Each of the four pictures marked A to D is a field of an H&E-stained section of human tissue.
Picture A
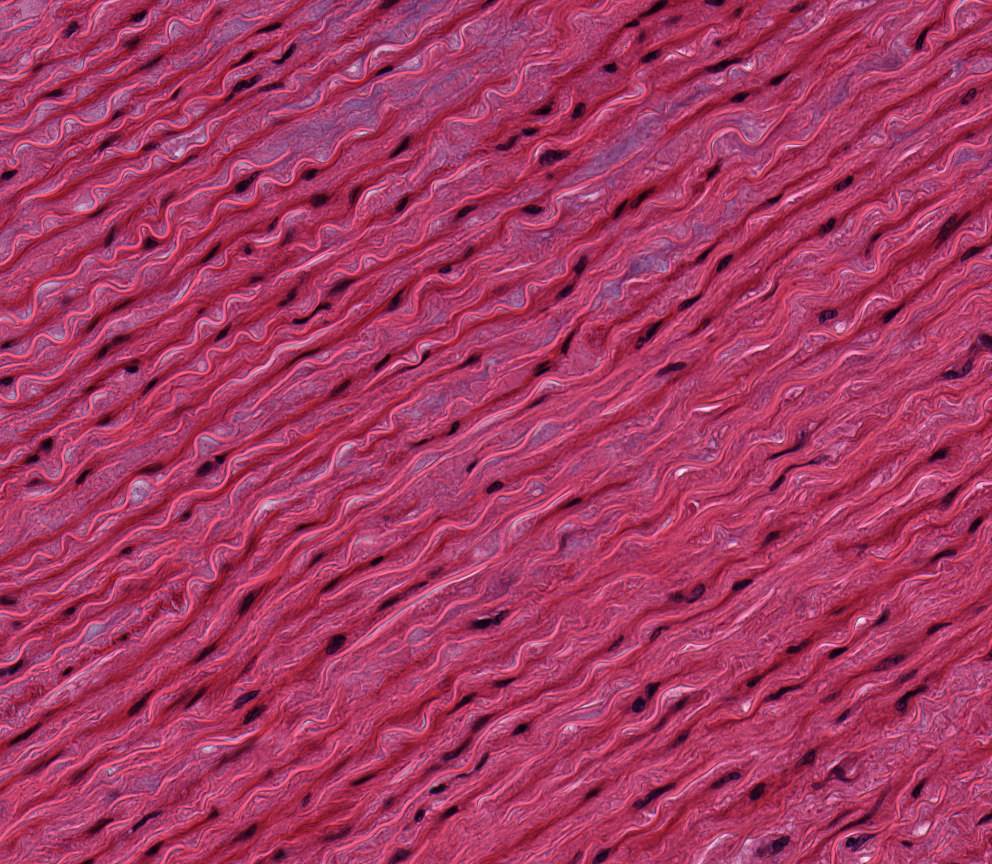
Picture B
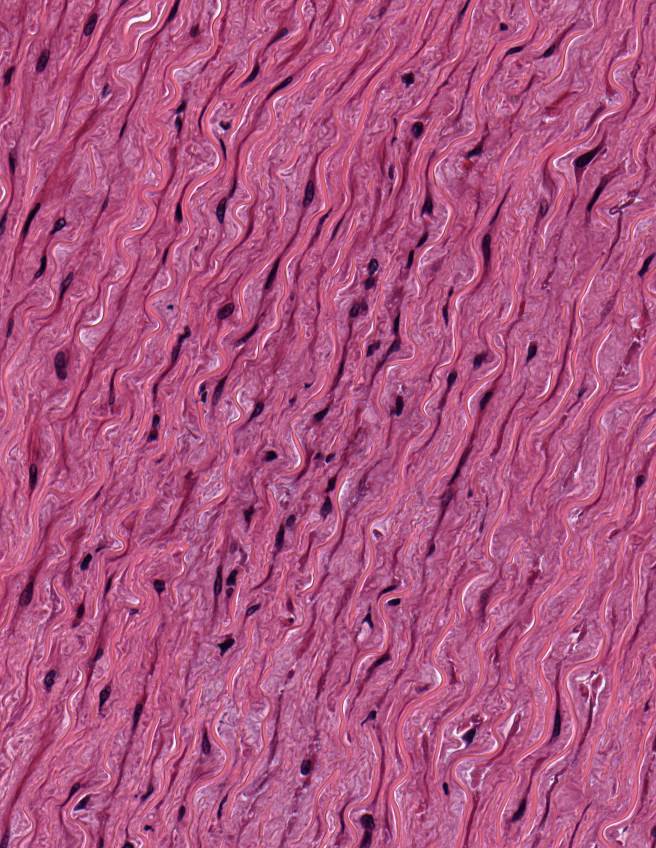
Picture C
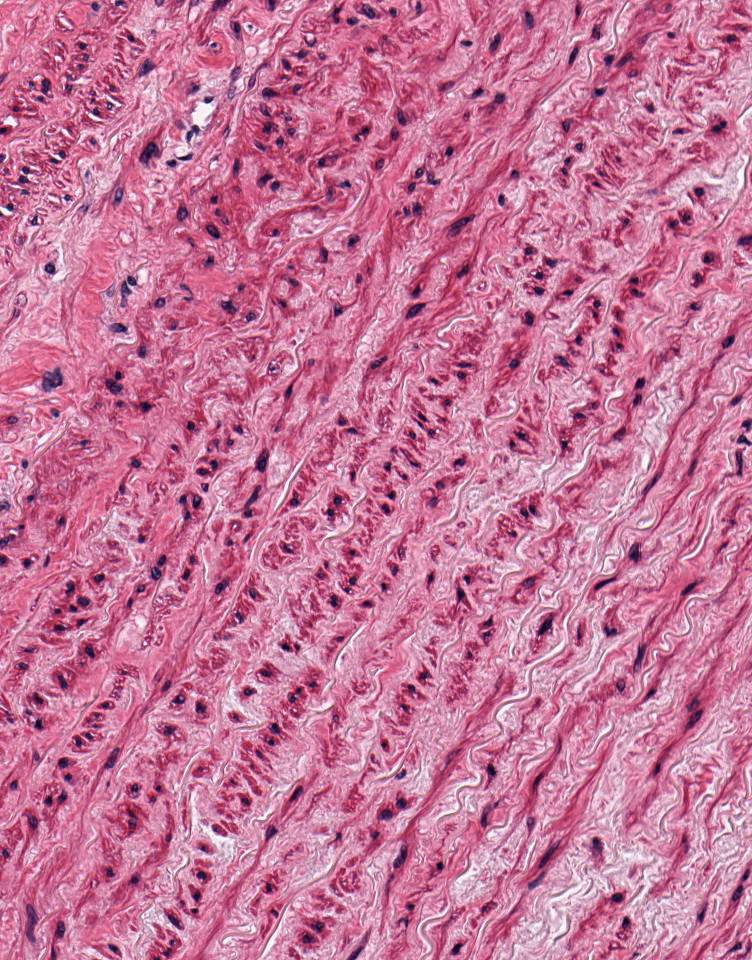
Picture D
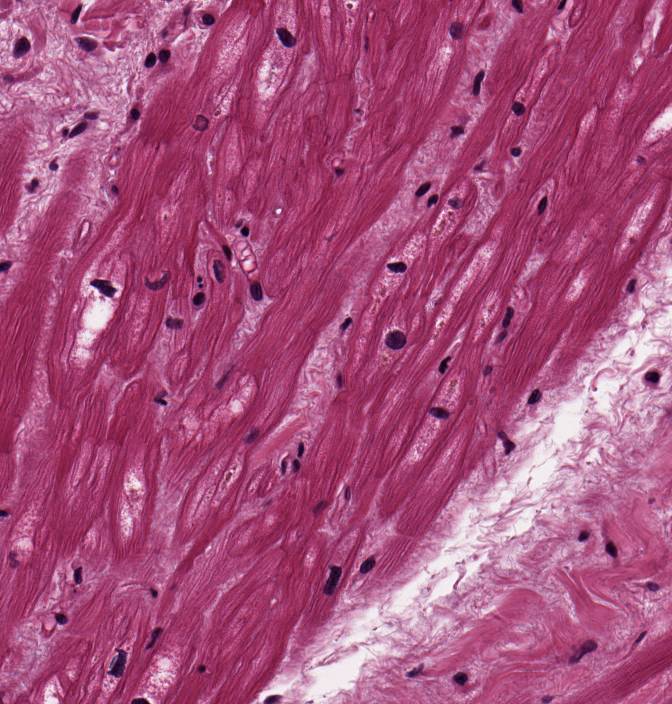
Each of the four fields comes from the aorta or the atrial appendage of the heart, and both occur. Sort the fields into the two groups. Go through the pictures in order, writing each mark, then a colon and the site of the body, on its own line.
A: aorta
B: aorta
C: aorta
D: atrial appendage of the heart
